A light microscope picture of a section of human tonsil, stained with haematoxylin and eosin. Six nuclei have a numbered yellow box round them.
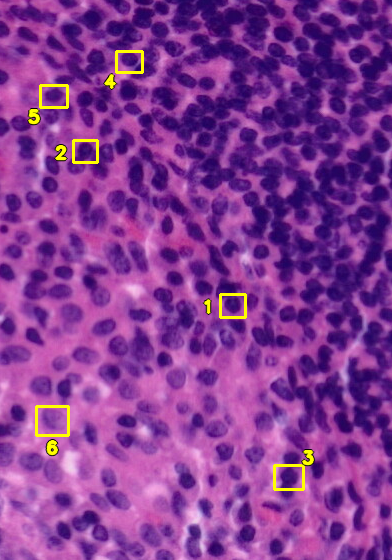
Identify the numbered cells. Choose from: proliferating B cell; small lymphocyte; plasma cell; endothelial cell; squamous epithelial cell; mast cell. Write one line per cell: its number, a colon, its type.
1: plasma cell
2: plasma cell
3: plasma cell
4: small lymphocyte
5: plasma cell
6: squamous epithelial cell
